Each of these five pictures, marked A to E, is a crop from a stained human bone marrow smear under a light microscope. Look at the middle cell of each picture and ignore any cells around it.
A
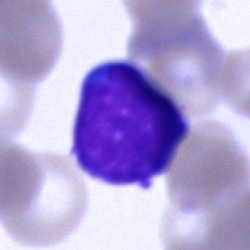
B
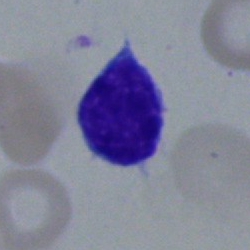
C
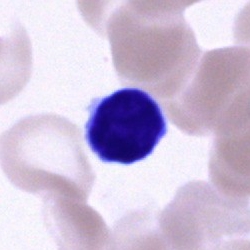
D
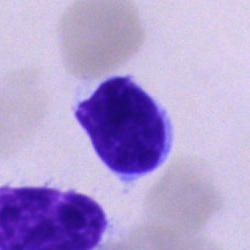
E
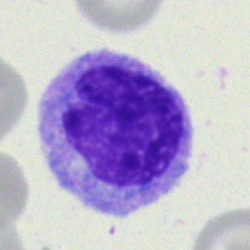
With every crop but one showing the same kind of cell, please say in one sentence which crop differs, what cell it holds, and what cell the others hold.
Crop E differs: it is a monocyte, and all the other crops show lymphocytes.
